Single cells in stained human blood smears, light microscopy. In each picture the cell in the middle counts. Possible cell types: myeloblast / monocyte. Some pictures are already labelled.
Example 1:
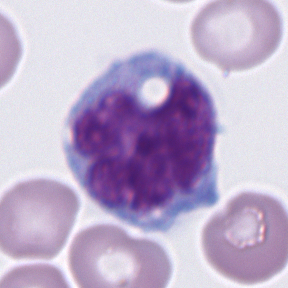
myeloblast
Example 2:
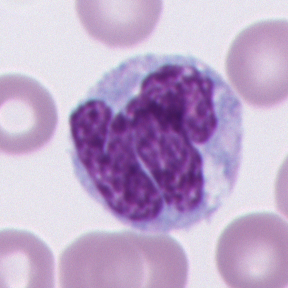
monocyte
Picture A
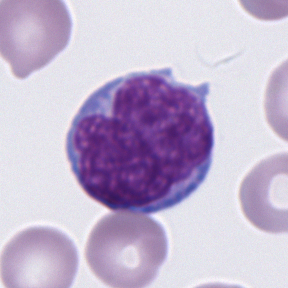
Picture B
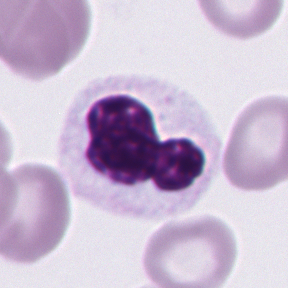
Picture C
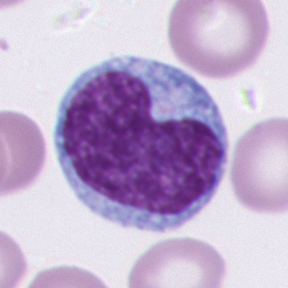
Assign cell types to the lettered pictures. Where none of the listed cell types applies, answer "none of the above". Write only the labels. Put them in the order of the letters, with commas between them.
myeloblast, none of the above, monocyte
